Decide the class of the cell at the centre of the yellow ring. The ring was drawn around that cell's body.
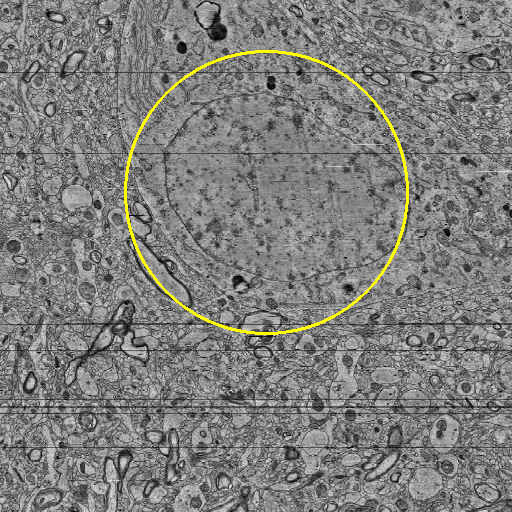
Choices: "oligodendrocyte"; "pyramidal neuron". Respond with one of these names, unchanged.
pyramidal neuron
